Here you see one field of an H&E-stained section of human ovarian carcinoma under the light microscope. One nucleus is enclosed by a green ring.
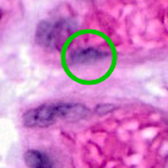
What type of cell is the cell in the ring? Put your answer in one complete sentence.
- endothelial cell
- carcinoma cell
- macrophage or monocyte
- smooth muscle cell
Within this tissue, the cell in the ring is an endothelial cell.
